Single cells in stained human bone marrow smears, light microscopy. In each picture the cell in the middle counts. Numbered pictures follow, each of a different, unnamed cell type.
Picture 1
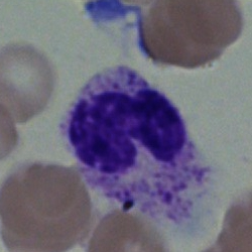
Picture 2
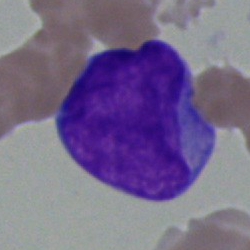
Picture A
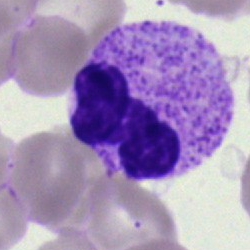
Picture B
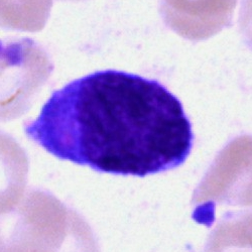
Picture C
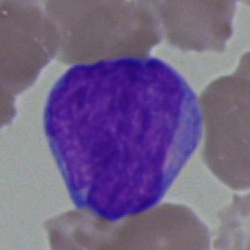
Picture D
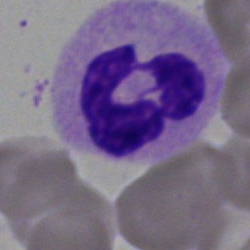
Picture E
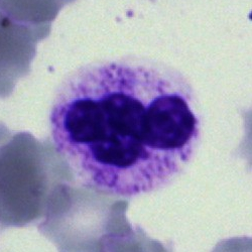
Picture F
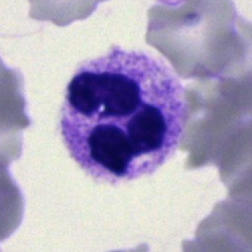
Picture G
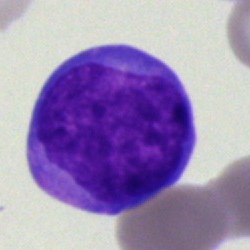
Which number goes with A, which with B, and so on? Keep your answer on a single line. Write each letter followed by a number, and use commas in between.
A 1, B 2, C 2, D 1, E 1, F 1, G 2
